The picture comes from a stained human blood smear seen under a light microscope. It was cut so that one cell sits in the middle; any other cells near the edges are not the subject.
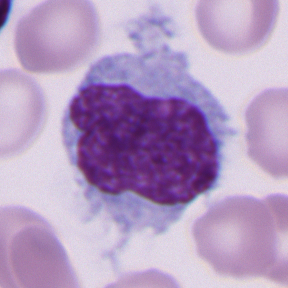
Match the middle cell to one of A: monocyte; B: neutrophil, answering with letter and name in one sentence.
Located in the middle of the crop is a monocyte, and option A is therefore correct.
